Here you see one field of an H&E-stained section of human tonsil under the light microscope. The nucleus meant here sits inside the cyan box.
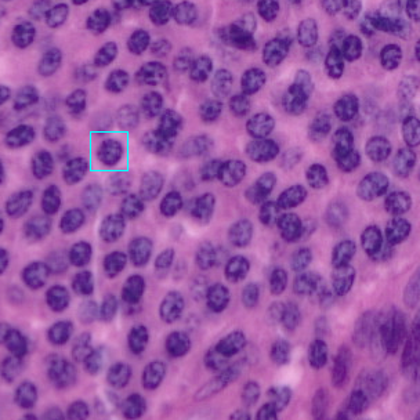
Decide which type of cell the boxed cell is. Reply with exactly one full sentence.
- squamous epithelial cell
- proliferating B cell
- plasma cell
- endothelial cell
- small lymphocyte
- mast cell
In this field of tissue, the boxed cell is a plasma cell.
